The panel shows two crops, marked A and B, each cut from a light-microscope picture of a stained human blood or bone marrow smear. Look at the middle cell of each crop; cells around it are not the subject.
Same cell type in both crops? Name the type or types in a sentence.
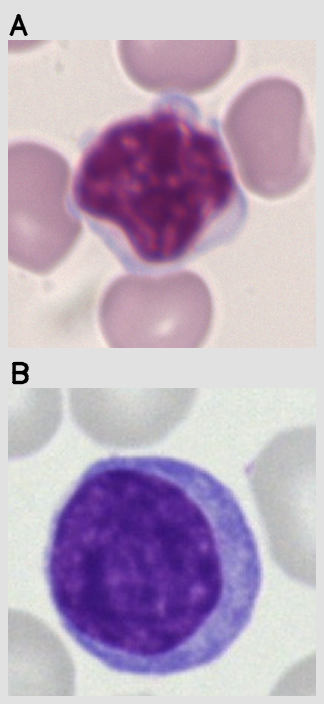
Yes, what both crops show is lymphocytes.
